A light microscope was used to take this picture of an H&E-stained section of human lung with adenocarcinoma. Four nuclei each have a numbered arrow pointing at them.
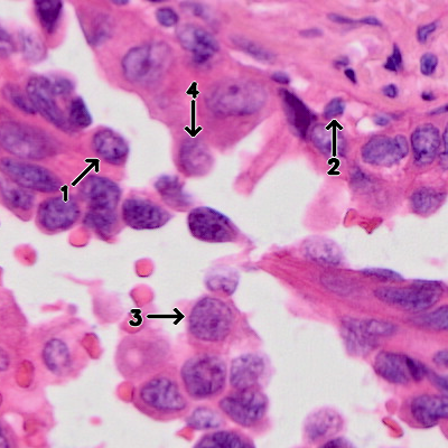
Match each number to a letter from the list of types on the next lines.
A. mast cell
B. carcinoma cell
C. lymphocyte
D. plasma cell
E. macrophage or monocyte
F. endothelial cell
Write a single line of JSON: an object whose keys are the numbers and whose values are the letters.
{"1": "B", "2": "C", "3": "B", "4": "B"}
